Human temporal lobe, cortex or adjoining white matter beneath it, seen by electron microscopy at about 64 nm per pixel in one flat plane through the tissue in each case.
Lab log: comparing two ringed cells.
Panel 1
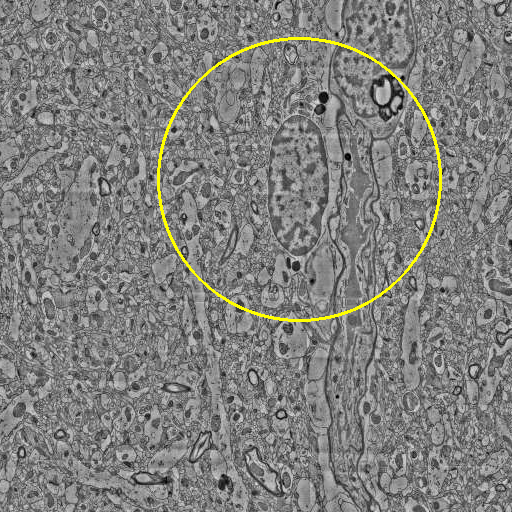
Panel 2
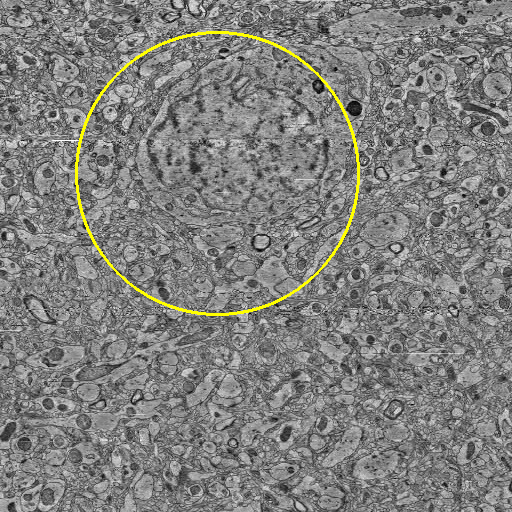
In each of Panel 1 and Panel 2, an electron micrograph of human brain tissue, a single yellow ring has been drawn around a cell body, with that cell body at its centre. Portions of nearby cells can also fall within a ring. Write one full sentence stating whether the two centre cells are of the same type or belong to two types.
The cells at the ring centres in Panel 1 and Panel 2 belong to two types.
